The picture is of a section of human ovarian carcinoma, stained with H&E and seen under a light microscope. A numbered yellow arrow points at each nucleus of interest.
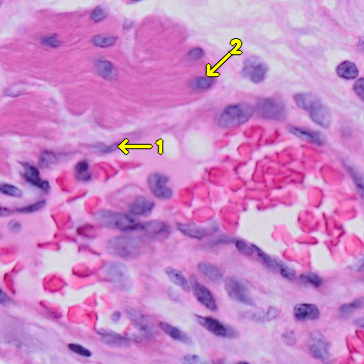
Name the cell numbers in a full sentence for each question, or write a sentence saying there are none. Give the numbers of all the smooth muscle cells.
Only the cell marked 2 is a smooth muscle cell.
